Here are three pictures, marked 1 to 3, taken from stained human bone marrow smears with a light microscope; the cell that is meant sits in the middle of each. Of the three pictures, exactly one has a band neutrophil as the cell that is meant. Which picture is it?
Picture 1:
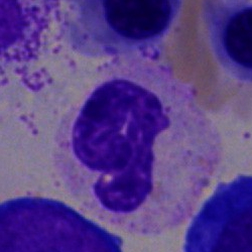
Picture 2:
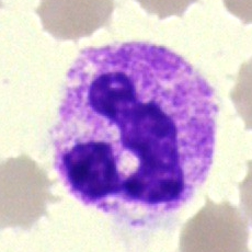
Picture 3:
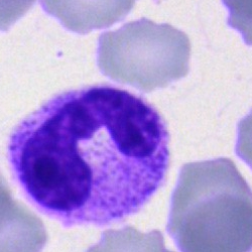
3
